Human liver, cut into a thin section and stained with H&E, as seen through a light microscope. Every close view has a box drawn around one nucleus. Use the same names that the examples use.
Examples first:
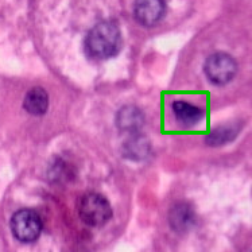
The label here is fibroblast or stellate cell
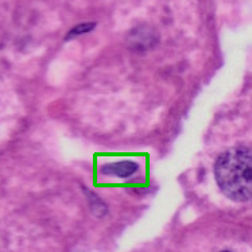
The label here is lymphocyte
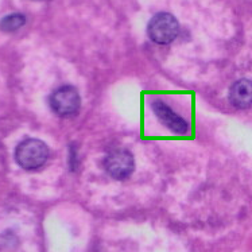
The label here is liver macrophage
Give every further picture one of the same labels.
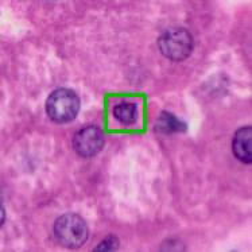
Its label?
fibroblast or stellate cell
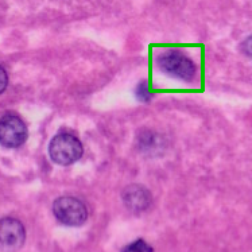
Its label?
liver macrophage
